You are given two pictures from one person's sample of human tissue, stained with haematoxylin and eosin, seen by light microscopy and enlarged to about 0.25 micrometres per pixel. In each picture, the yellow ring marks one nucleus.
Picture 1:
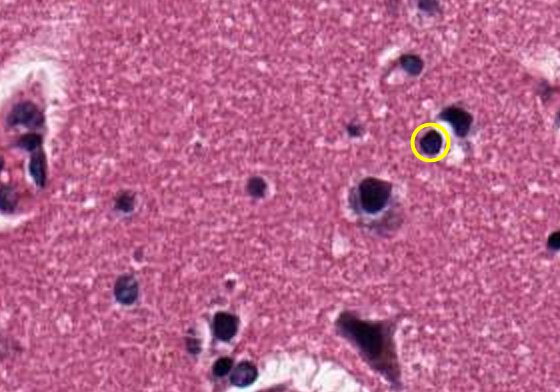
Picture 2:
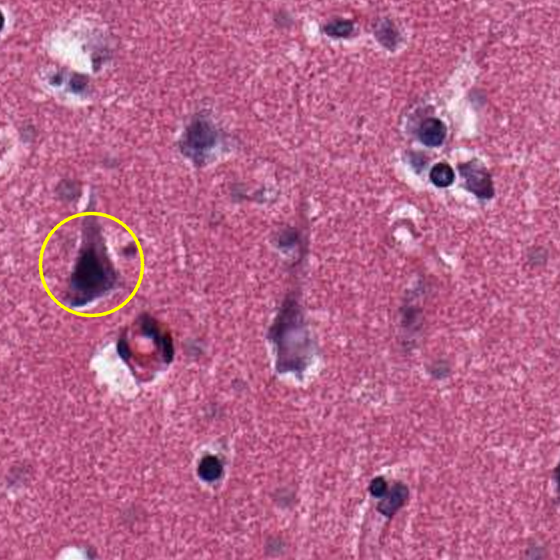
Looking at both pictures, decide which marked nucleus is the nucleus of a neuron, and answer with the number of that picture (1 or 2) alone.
2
